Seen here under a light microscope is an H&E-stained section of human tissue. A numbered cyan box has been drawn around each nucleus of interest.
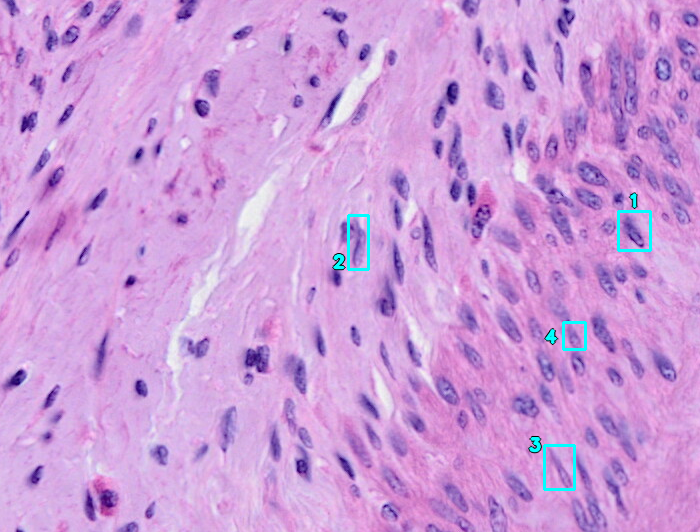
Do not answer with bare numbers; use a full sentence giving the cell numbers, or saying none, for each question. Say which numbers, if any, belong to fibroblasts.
Cell 2, and no other numbered cell, is a fibroblast.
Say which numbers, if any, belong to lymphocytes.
Between them, the numbered cells include no lymphocytes.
